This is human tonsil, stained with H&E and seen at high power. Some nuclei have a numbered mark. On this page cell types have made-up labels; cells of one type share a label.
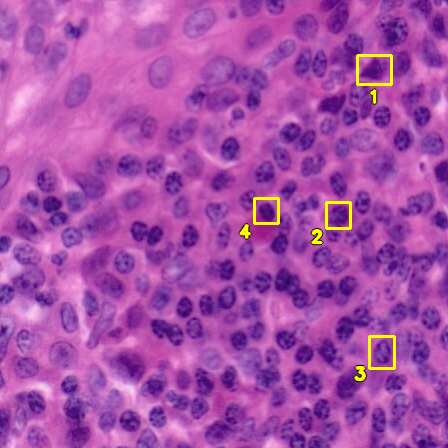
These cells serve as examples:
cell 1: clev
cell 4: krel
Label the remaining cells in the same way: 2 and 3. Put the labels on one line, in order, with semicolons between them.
krel; krel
